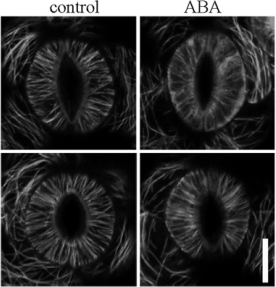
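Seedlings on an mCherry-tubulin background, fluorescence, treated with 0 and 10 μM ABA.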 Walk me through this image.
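Each image shows a stoma formed by two bean-shaped guard cells around a central elongated pore. Thin bright cortical microtubules fan out radially from the pore across both guard cells, and adjacent epidermal cells contain filaments lying in various directions. In some images the radial array is less dense, with fewer, more broken filaments.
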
